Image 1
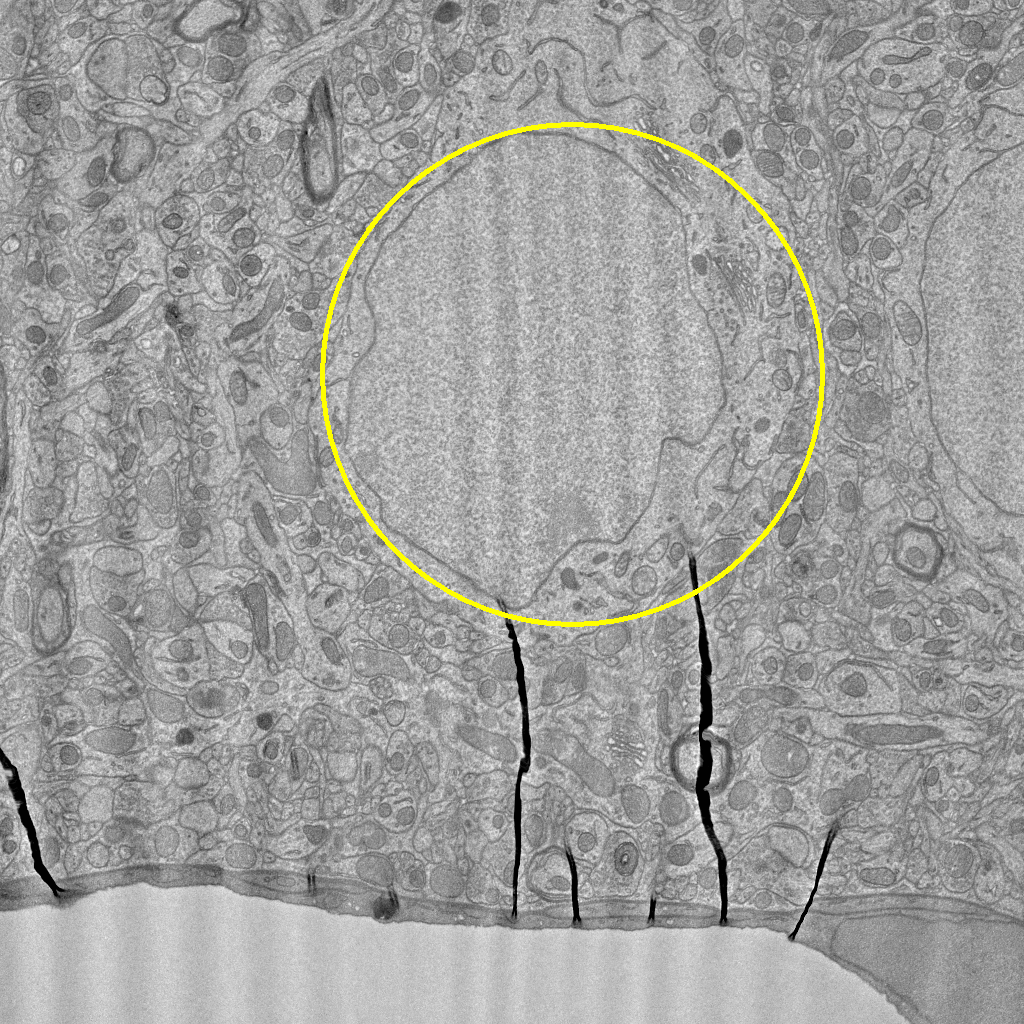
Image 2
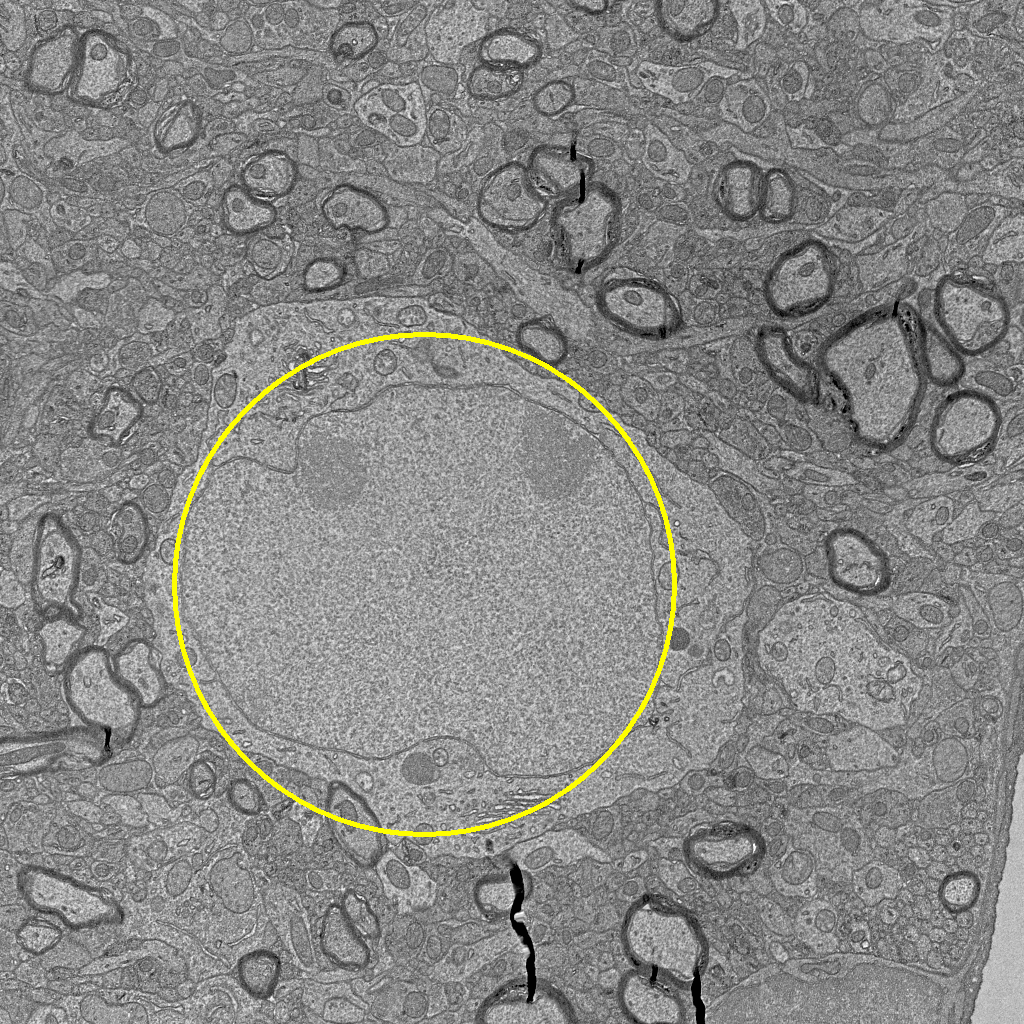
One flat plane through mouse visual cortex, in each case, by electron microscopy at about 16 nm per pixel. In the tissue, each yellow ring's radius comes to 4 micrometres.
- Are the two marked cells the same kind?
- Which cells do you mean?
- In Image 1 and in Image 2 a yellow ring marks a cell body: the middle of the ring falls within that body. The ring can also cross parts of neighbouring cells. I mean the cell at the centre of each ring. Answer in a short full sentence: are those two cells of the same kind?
Yes, both cells are of the same kind.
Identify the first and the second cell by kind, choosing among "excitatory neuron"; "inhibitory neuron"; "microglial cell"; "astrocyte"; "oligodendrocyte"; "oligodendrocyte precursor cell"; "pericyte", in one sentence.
Both cells are the same kind, each one being an excitatory neuron.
